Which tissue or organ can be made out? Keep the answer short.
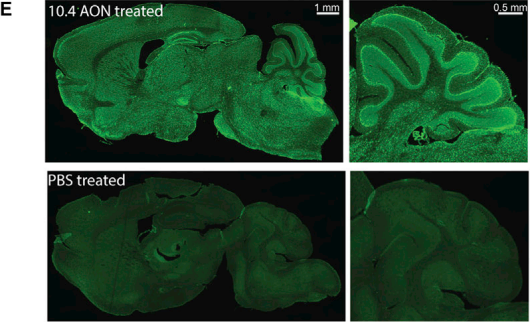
Cerebellum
